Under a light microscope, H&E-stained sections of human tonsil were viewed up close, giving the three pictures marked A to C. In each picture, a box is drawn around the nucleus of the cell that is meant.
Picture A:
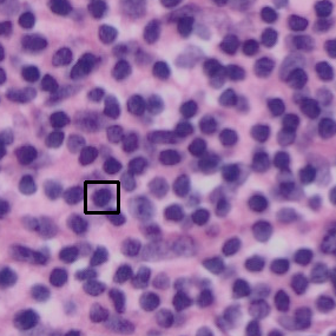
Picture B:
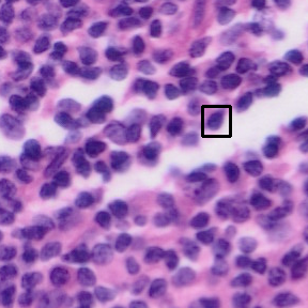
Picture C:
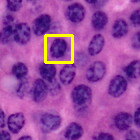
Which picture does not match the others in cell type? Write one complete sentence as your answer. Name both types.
All pictures except C show small lymphocytes; picture C shows a plasma cell.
